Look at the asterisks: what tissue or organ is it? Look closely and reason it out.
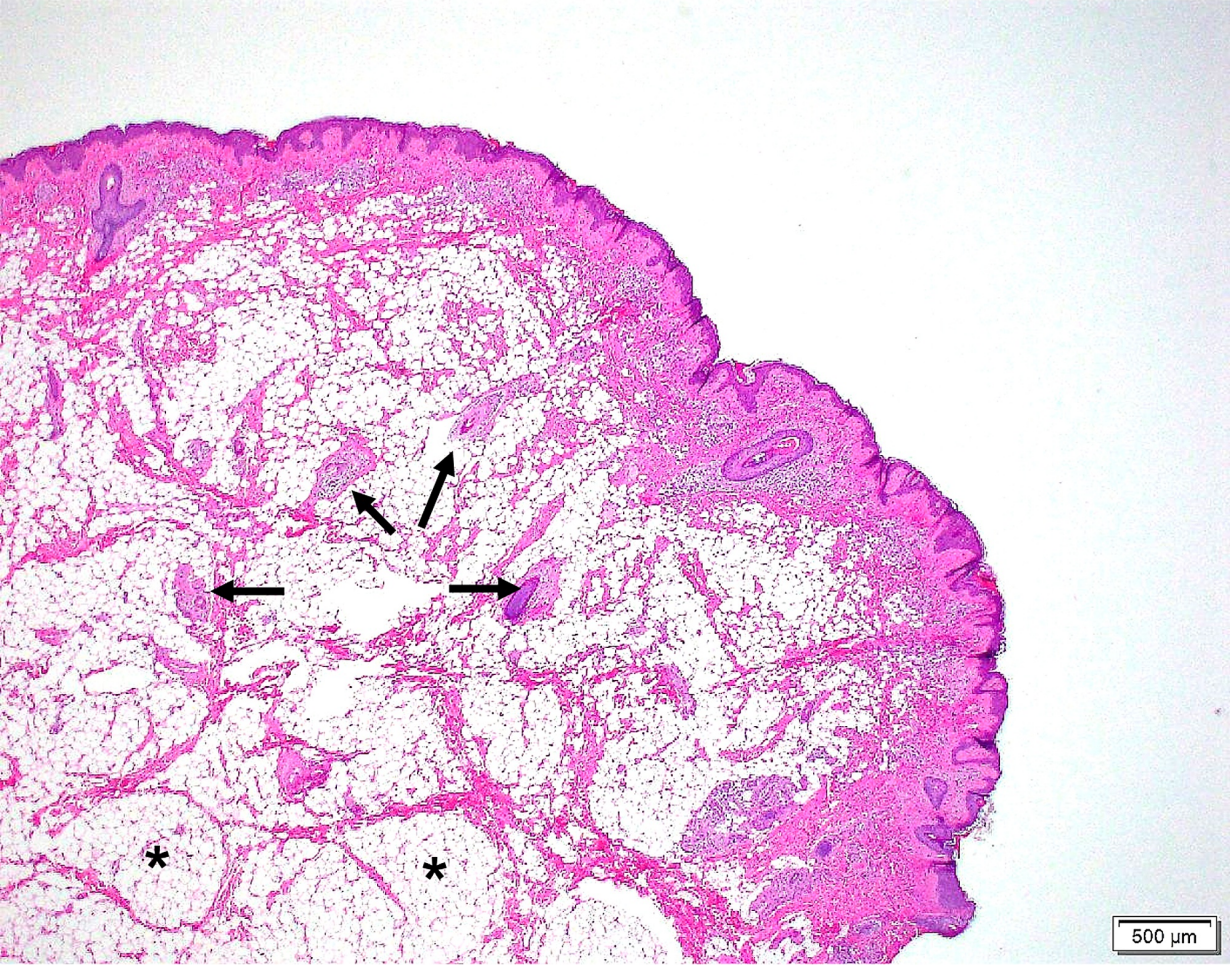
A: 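The asterisks lie in lobules of large, clear, empty-looking cells. Thin pink fibrous septa run between these lobules. This tissue fills the core of the specimen, beneath the surface layer.
Hence: fibroadipose tissue.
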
